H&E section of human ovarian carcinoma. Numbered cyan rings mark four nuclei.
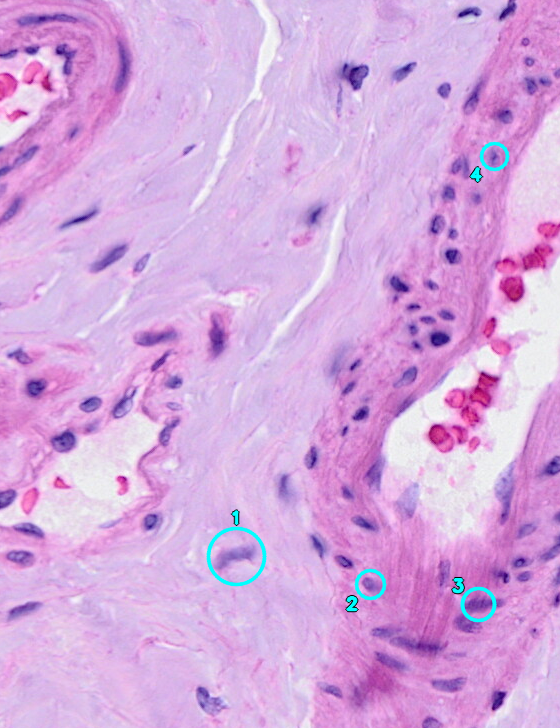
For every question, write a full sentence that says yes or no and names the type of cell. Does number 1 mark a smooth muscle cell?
No, cell 1 isn't a smooth muscle cell; it's a fibroblast.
